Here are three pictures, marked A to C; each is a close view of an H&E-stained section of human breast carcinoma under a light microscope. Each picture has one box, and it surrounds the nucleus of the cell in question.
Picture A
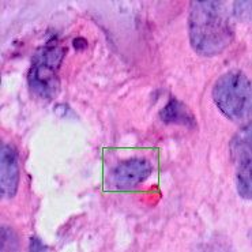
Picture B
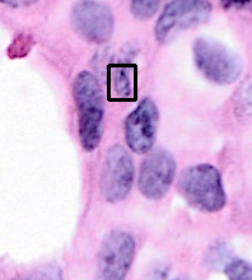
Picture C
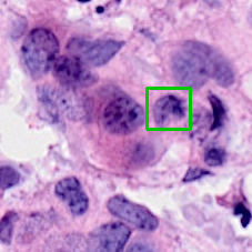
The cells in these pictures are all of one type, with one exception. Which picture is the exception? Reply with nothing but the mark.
A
